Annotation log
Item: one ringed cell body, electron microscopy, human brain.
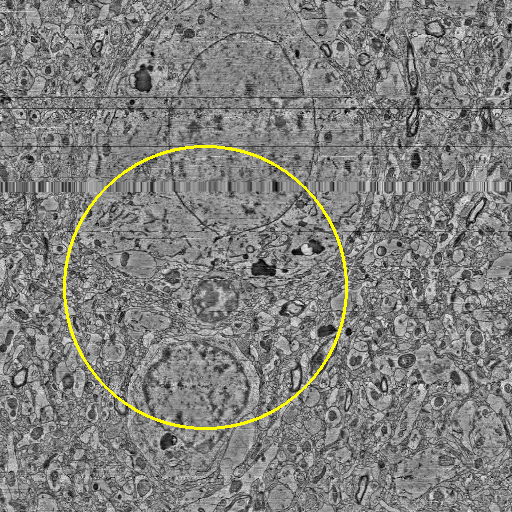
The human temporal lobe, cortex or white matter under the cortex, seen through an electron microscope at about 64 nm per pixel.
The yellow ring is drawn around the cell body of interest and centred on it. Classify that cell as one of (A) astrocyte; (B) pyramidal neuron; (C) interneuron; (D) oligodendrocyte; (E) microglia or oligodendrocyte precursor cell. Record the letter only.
D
